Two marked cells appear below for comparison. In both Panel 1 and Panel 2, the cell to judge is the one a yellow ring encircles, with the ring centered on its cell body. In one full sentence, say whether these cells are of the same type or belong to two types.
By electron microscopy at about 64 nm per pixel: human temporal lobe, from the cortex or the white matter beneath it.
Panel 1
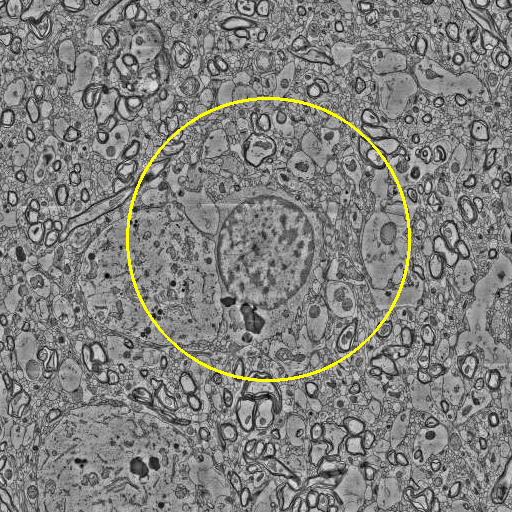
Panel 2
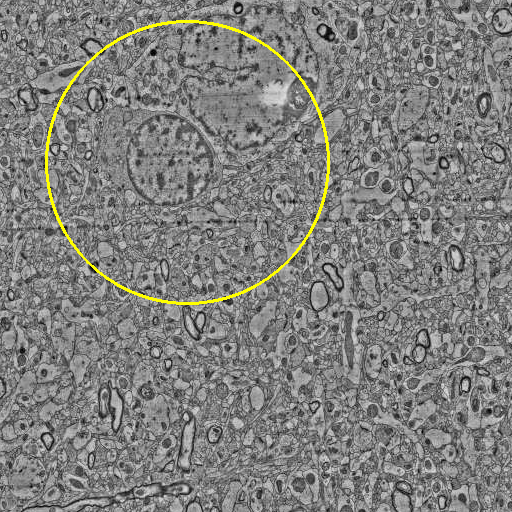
The cell centered in the Panel 1 ring and the one in Panel 2 are of the same type.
